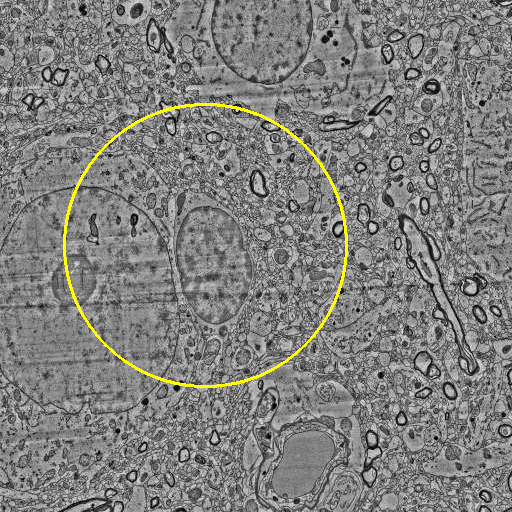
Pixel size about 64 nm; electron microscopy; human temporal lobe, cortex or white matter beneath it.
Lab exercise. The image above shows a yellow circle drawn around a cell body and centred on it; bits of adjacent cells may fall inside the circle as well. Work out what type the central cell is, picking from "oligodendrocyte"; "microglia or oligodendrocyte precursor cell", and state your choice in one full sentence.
In the image above, the cell at the centre of the yellow circle is an oligodendrocyte.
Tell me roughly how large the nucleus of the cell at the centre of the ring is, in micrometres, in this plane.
The ringed cell's nucleus is roughly 7 by 5 micrometres and clearly longer than it is wide in this plane.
